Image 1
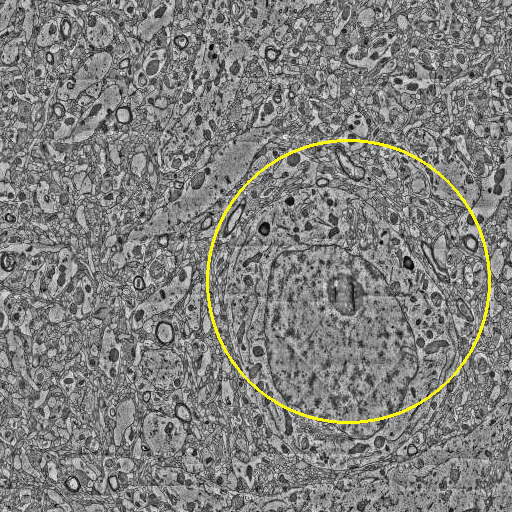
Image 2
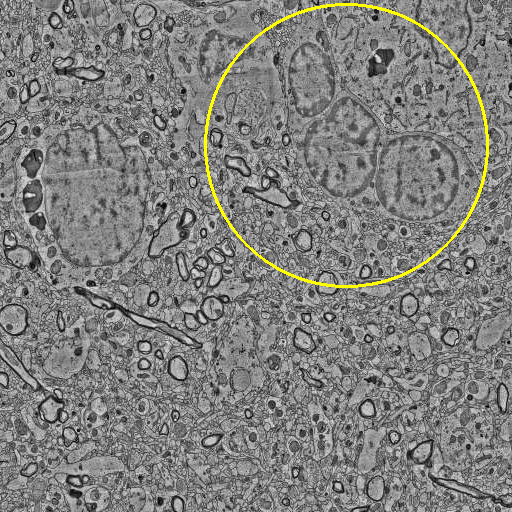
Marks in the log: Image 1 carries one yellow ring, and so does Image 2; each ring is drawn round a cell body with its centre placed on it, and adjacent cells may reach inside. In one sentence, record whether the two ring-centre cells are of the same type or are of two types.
The two cells at the ring centres, one in each image, are of two types.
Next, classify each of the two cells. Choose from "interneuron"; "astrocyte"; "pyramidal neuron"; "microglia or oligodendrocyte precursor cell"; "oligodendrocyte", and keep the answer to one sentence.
In the first picture it is an interneuron; in the second it is an oligodendrocyte.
